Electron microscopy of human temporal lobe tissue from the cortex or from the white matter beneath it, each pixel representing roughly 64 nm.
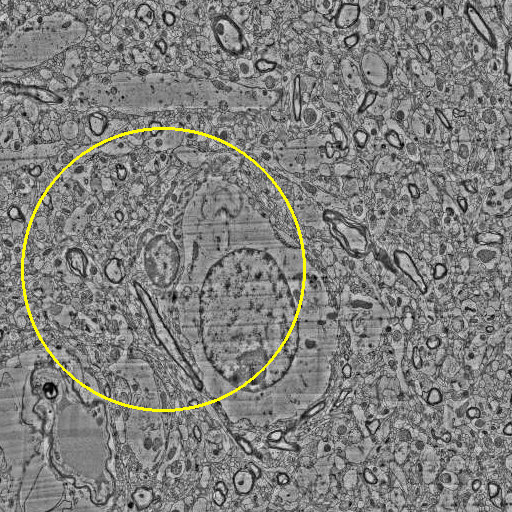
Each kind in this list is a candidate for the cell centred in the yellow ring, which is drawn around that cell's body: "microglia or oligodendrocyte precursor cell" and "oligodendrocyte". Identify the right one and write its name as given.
microglia or oligodendrocyte precursor cell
